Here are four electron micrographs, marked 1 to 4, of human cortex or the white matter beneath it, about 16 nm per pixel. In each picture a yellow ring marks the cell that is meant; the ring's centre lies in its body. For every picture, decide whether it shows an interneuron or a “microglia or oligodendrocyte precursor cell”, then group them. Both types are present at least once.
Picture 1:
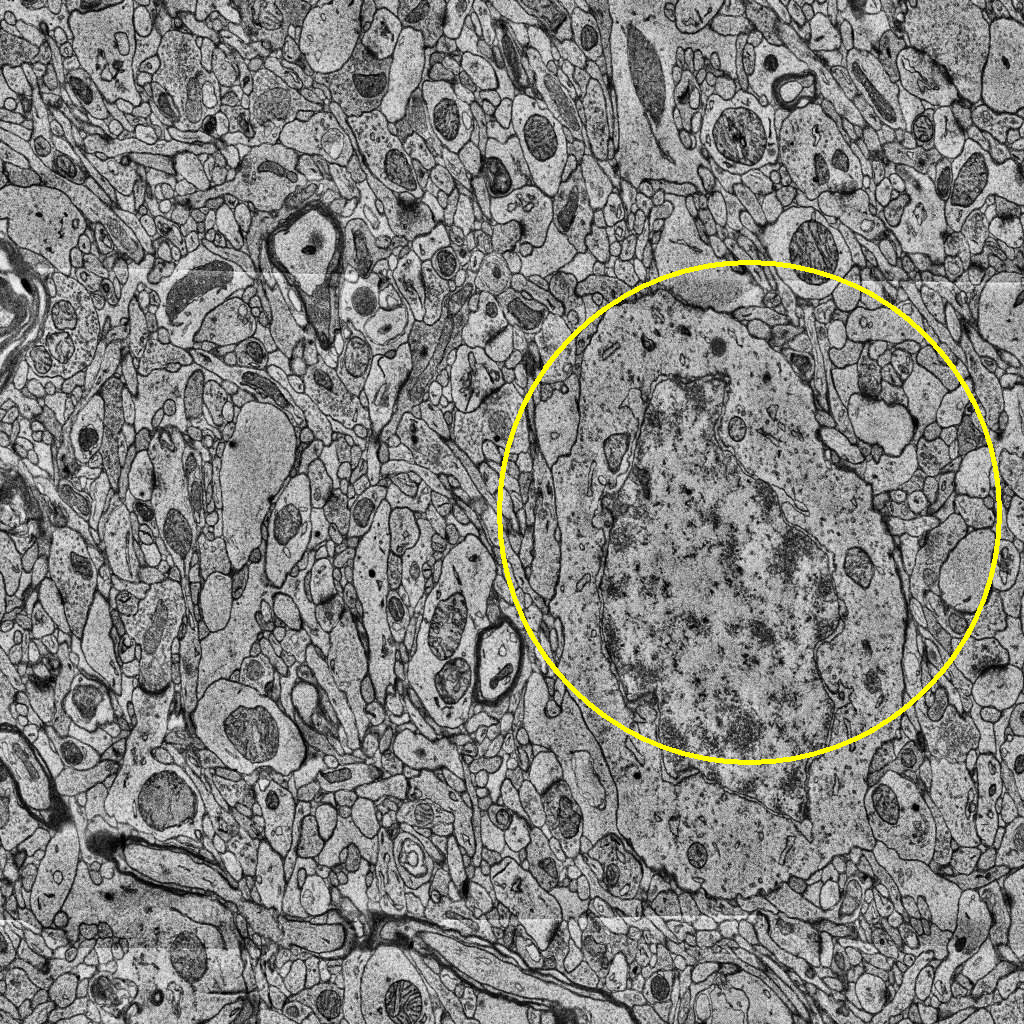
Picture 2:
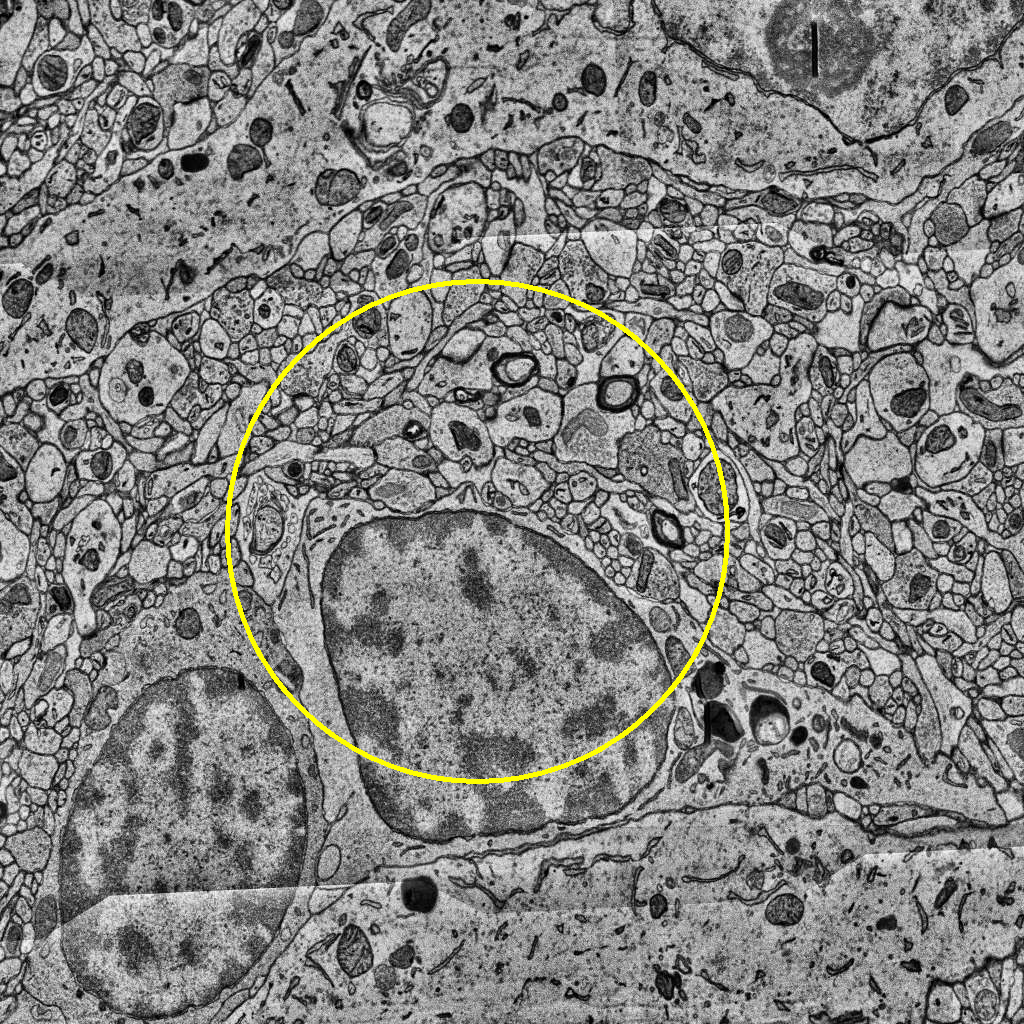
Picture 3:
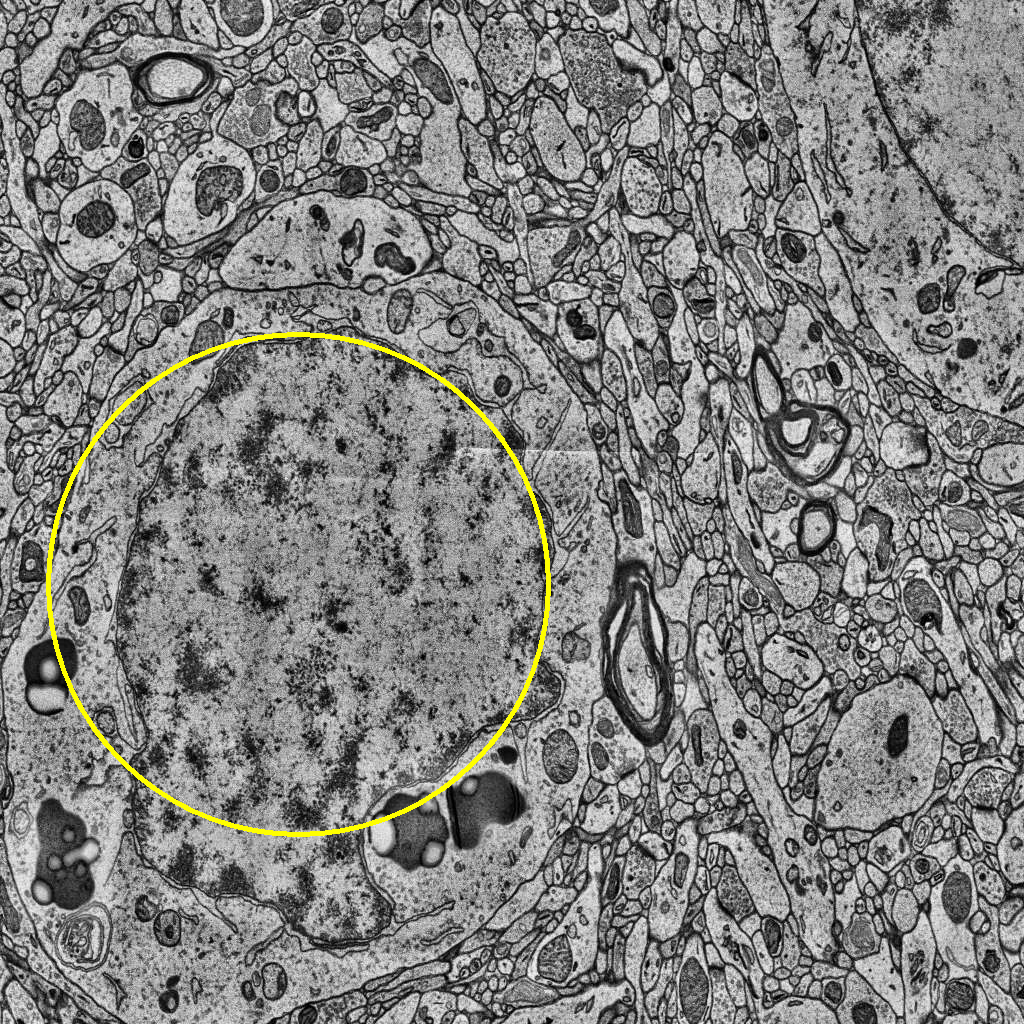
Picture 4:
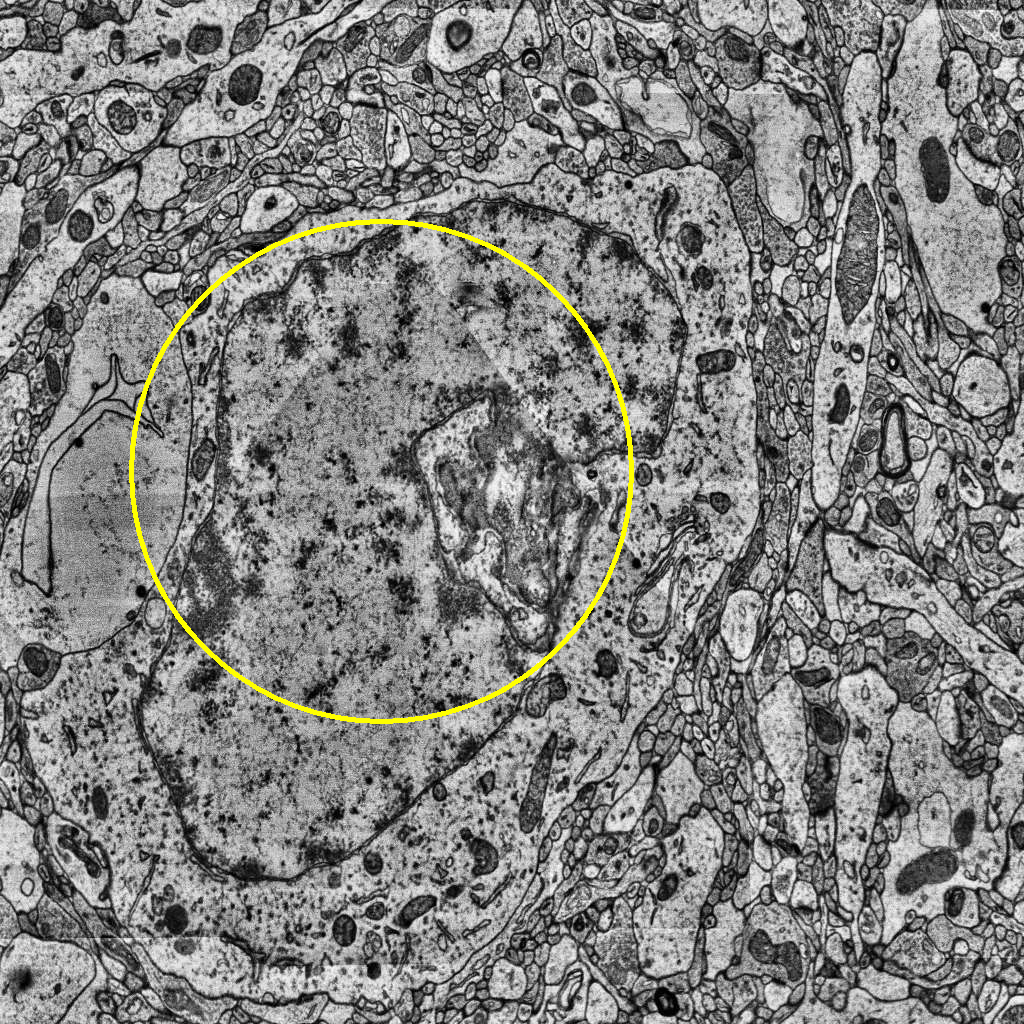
Pictures 1, 3 and 4 show interneurons, while picture 2 shows a “microglia or oligodendrocyte precursor cell”.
